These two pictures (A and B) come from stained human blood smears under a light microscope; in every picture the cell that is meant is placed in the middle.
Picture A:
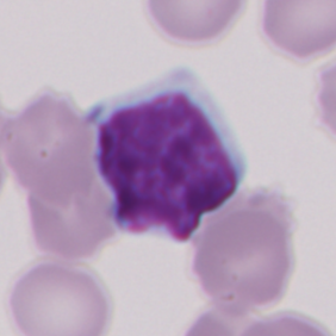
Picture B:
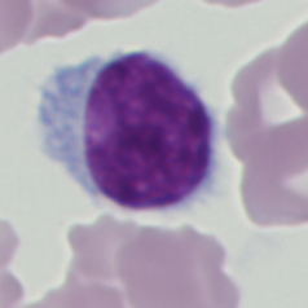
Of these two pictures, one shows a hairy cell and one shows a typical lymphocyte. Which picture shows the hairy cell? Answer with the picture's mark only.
B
